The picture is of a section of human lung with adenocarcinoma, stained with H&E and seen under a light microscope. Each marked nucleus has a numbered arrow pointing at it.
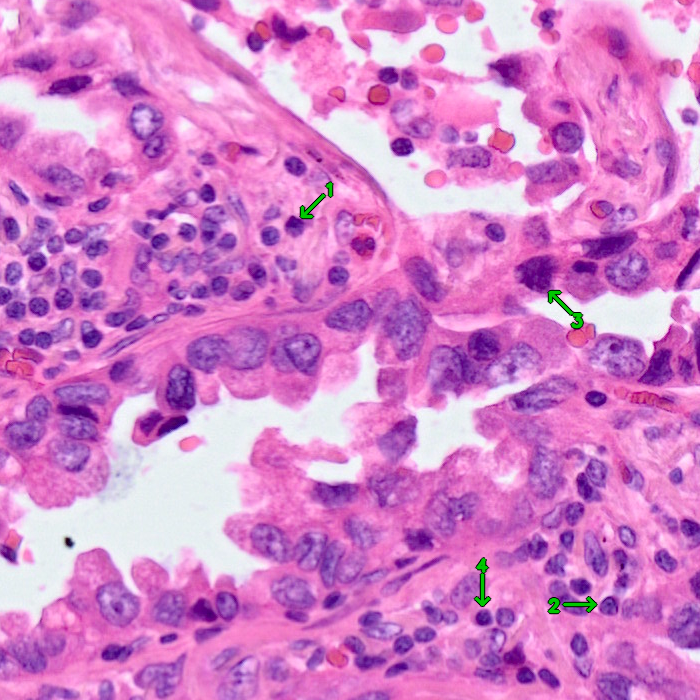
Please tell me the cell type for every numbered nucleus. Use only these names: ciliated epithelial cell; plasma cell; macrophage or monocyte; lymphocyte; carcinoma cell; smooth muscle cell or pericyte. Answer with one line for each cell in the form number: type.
1: lymphocyte
2: lymphocyte
3: carcinoma cell
4: lymphocyte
